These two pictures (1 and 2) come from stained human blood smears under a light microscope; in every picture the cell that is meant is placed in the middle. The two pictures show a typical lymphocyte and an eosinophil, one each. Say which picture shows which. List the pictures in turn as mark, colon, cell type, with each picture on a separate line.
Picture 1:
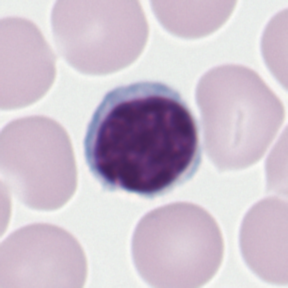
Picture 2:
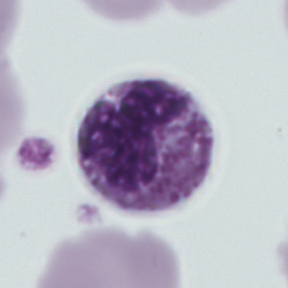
1: typical lymphocyte
2: eosinophil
